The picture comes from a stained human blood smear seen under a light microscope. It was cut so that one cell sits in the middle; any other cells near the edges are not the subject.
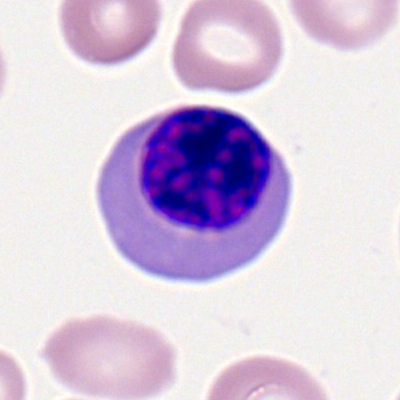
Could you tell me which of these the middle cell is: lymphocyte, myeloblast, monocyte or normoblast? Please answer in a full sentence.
Centred in the crop is a normoblast.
